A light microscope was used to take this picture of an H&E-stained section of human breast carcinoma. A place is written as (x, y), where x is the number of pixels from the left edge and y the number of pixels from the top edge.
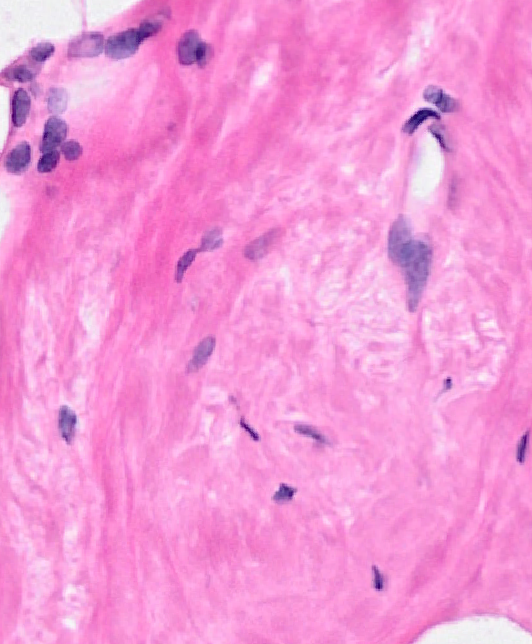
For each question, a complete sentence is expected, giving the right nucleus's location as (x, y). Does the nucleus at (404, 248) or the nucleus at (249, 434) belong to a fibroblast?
Lying within a fibroblast is the nucleus at (249, 434).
